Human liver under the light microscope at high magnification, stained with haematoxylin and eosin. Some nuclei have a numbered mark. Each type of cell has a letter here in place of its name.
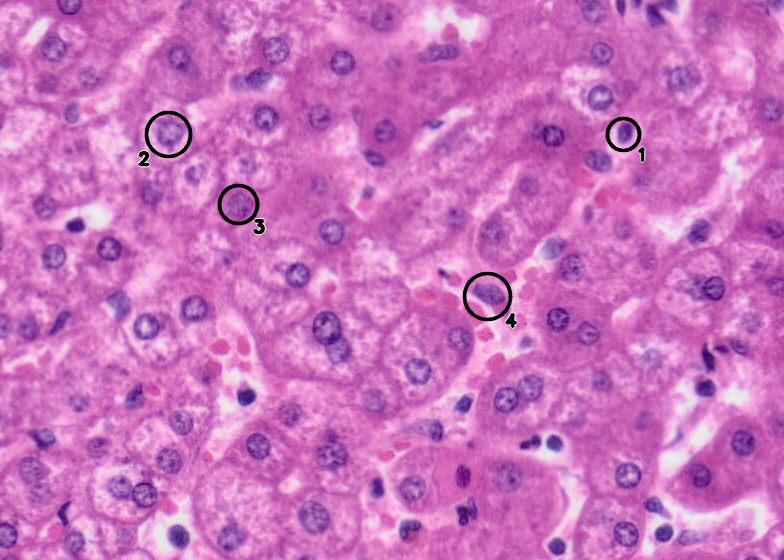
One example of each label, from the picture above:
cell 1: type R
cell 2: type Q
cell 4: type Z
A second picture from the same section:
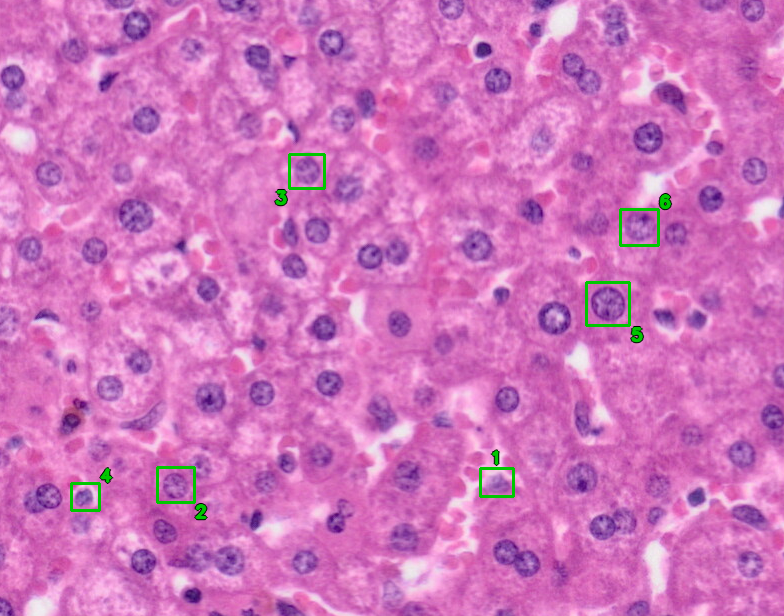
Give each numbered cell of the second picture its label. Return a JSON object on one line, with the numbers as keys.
{"1": "type Z", "2": "type Q", "3": "type Q", "4": "type R", "5": "type Q", "6": "type Q"}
